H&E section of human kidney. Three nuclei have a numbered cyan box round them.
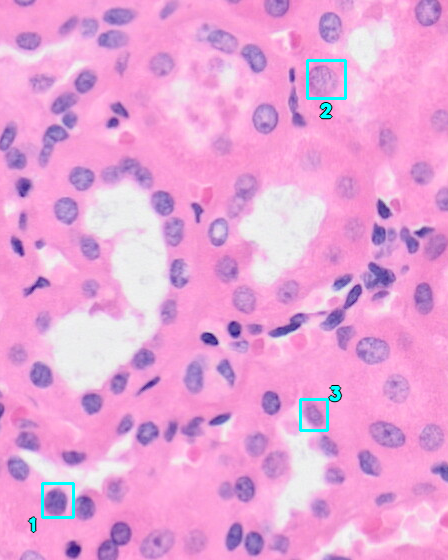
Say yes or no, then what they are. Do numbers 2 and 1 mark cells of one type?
No, a proximal tubule cell is what cell 2 is, and a loop of Henle or distal tubule cell is what cell 1 is.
